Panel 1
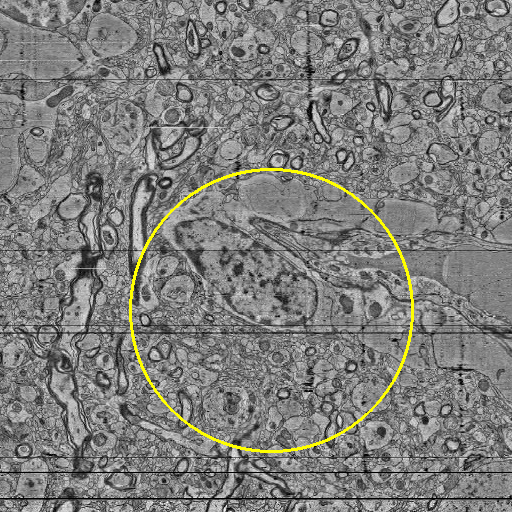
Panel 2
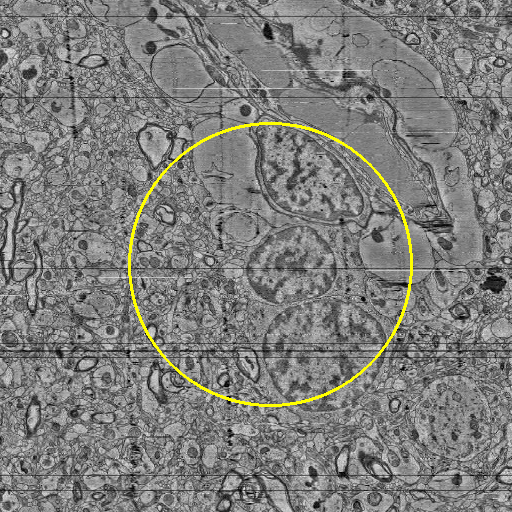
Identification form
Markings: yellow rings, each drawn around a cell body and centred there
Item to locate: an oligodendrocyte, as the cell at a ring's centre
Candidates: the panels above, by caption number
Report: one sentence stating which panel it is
It is Panel 2.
